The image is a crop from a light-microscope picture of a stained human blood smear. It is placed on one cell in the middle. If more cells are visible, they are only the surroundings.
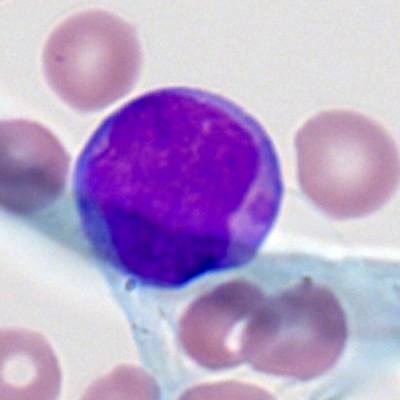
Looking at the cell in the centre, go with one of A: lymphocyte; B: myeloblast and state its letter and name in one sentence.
At the centre of the crop lies a myeloblast, which makes option B correct.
